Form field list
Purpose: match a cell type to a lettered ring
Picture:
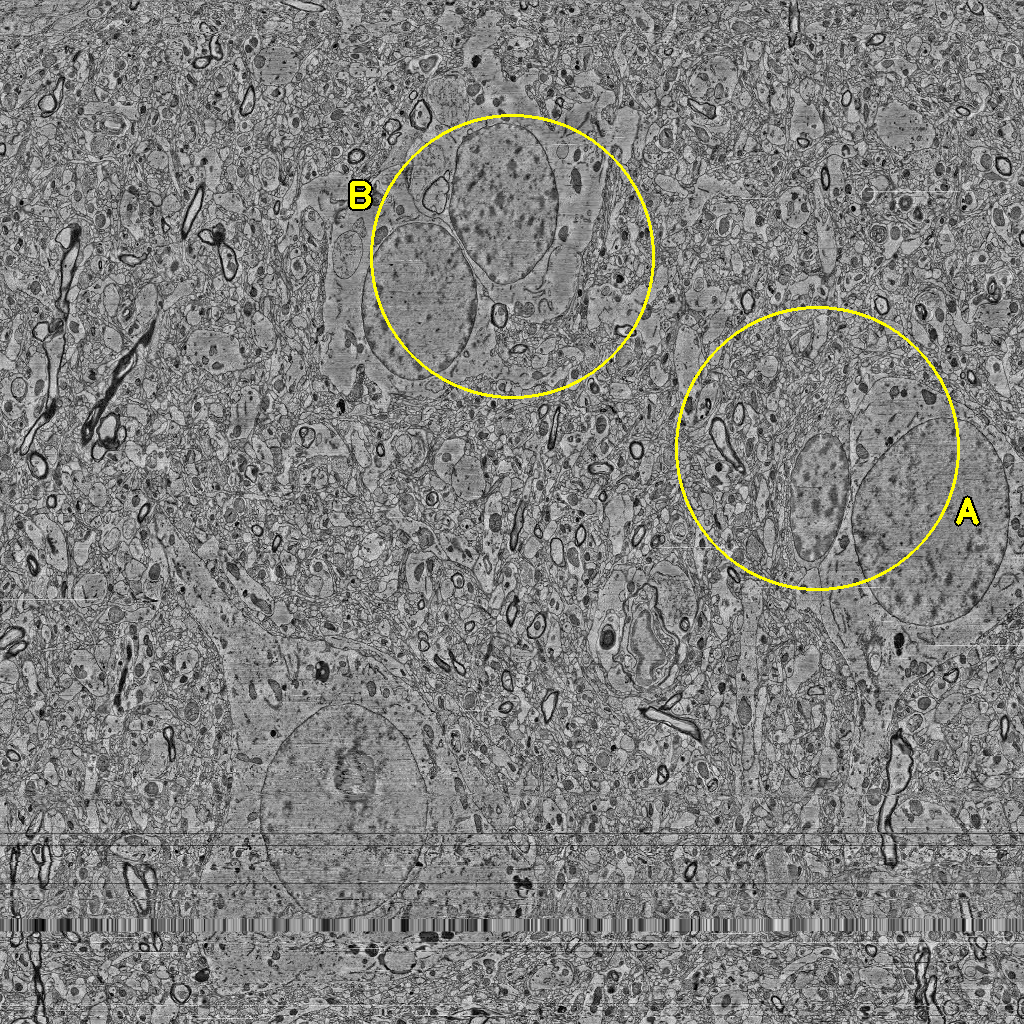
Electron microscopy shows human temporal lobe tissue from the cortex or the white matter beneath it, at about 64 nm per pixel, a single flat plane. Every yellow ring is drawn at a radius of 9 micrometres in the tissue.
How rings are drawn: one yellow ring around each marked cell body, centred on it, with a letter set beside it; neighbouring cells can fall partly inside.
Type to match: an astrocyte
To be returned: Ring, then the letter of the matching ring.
Ring B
